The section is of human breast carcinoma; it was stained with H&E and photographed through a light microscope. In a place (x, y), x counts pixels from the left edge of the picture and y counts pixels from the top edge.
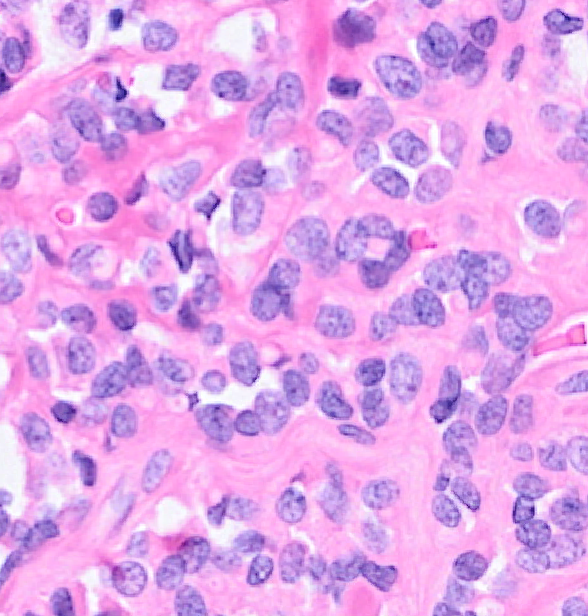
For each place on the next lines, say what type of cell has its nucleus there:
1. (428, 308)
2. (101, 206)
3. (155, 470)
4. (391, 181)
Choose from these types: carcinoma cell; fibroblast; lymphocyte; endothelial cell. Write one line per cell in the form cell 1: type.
cell 1: carcinoma cell
cell 2: carcinoma cell
cell 3: endothelial cell
cell 4: carcinoma cell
